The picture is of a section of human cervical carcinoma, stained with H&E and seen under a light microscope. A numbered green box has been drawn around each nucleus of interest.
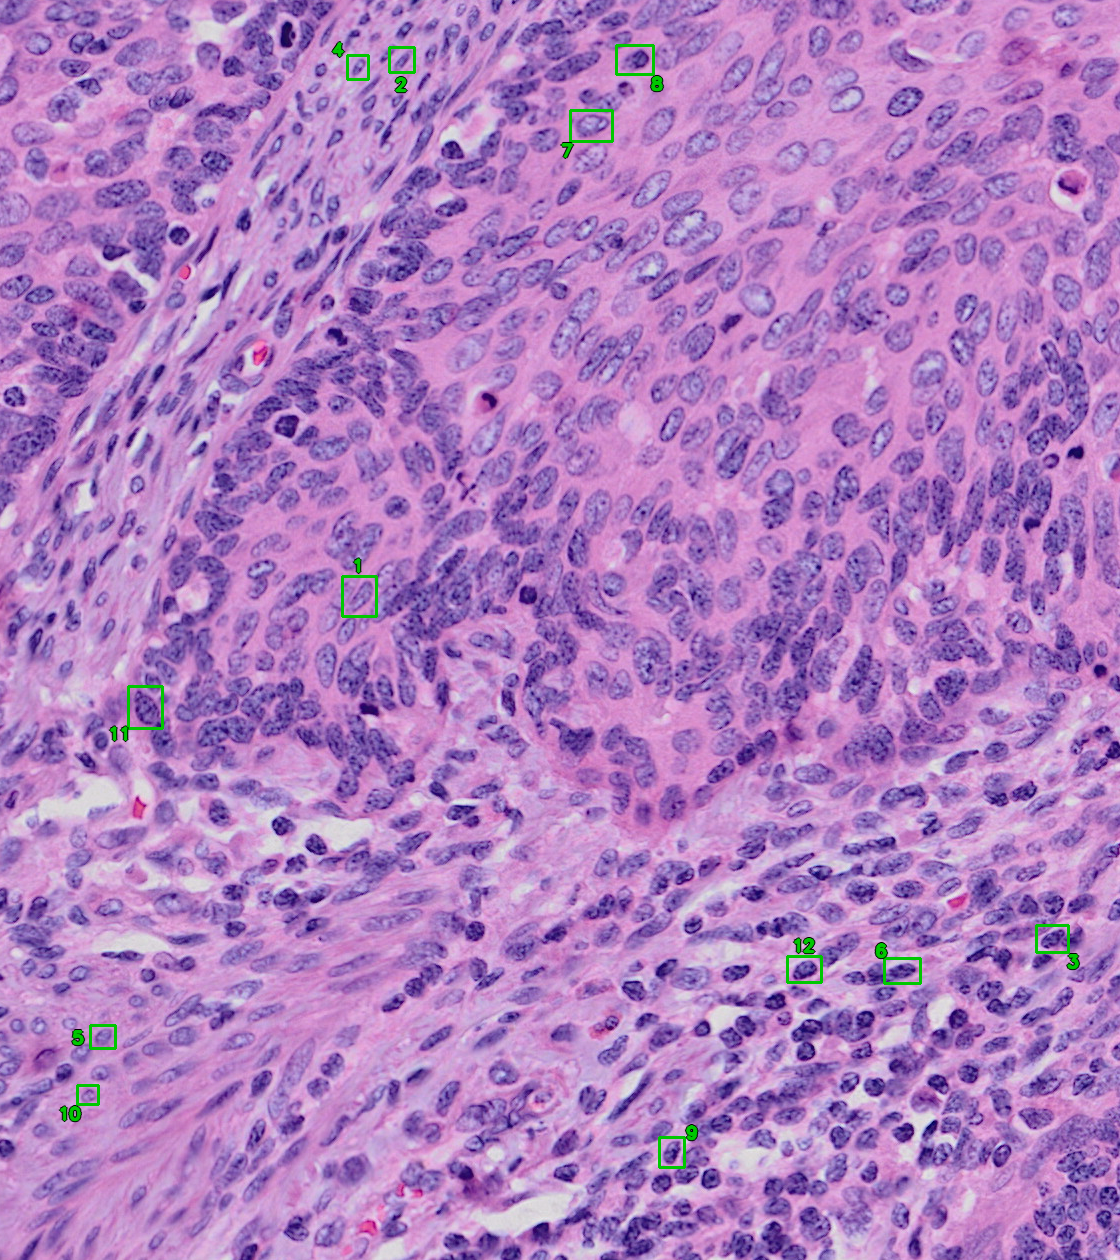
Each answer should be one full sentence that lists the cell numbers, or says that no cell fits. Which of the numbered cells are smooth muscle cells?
Cells 2, 4, 5 and 10 share one type; they are smooth muscle cells.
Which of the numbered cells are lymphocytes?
The numbers 3, 6, 9 and 12 in this section indicate lymphocytes.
